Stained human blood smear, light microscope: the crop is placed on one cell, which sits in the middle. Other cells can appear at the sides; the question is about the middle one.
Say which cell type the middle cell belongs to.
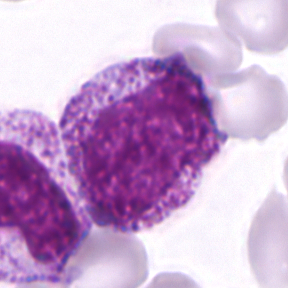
myelocyte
